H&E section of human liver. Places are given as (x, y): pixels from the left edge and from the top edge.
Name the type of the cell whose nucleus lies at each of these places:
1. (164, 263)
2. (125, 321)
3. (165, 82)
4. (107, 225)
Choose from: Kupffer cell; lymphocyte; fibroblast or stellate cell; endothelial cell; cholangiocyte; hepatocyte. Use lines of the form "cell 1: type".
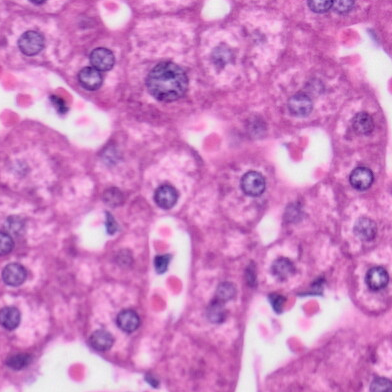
cell 1: lymphocyte
cell 2: hepatocyte
cell 3: hepatocyte
cell 4: endothelial cell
